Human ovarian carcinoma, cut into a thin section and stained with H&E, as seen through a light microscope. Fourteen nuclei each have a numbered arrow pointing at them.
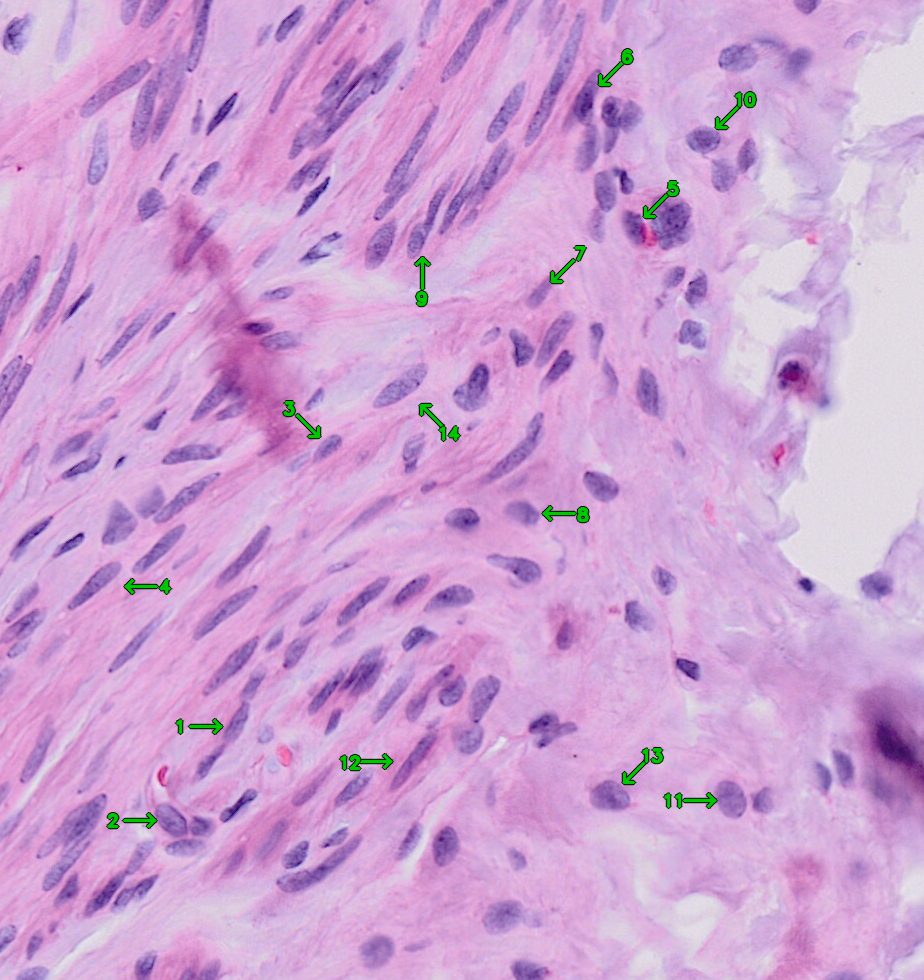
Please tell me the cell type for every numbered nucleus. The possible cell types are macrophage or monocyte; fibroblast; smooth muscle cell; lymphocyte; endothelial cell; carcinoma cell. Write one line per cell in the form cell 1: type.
cell 1: smooth muscle cell
cell 2: endothelial cell
cell 3: smooth muscle cell
cell 4: smooth muscle cell
cell 5: endothelial cell
cell 6: smooth muscle cell
cell 7: smooth muscle cell
cell 8: fibroblast
cell 9: smooth muscle cell
cell 10: fibroblast
cell 11: fibroblast
cell 12: smooth muscle cell
cell 13: fibroblast
cell 14: smooth muscle cell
